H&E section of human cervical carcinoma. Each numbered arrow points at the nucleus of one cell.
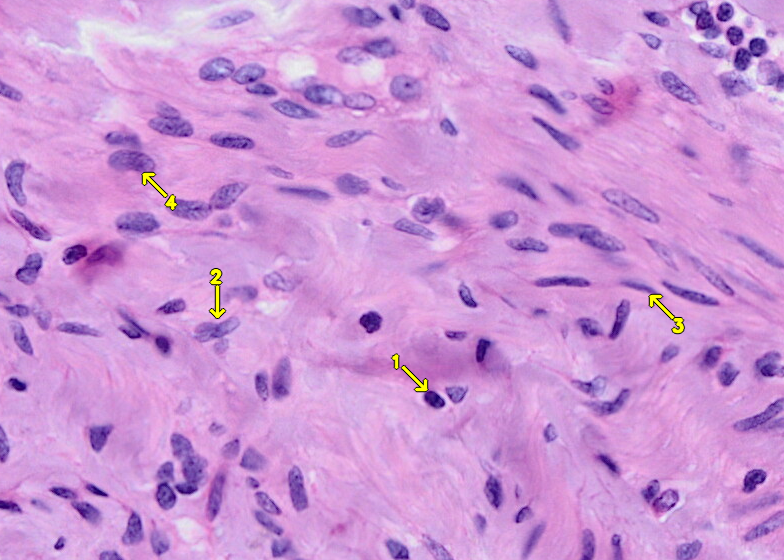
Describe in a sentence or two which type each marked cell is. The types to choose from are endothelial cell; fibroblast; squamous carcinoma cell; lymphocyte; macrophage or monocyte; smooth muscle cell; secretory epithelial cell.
Cell 1 is a lymphocyte. Cells 2, 3 and 4 are fibroblasts.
